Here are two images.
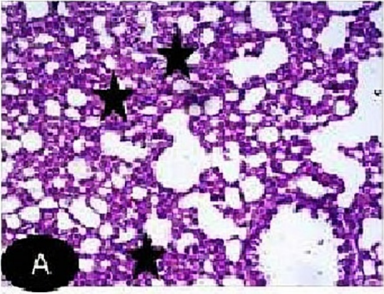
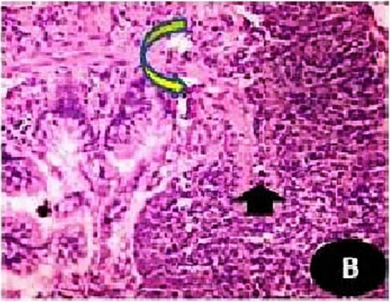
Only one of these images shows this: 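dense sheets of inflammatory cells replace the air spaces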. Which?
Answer: the second image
